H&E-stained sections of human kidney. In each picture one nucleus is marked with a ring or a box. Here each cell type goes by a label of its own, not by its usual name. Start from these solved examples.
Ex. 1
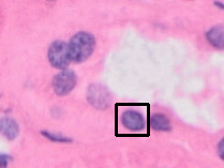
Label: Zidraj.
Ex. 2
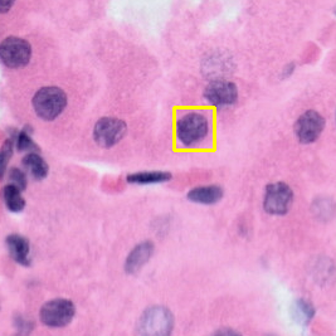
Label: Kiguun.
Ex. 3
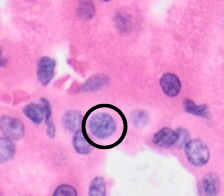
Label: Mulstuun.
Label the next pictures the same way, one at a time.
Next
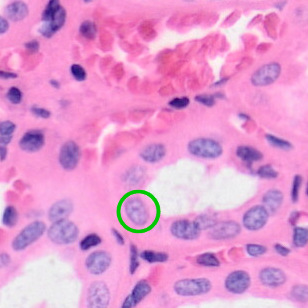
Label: Mulstuun.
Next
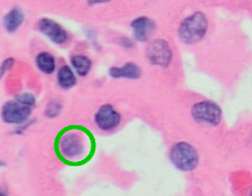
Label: Zidraj.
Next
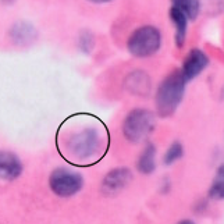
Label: Zidraj.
